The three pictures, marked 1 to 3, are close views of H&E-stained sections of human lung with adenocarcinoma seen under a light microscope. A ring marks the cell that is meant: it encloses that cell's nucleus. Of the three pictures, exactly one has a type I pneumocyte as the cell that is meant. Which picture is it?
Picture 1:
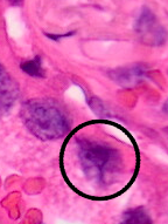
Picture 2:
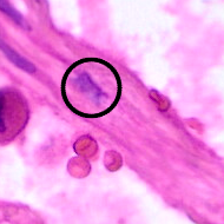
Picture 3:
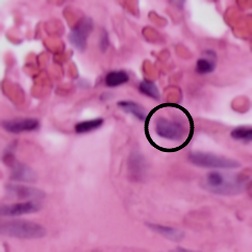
3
